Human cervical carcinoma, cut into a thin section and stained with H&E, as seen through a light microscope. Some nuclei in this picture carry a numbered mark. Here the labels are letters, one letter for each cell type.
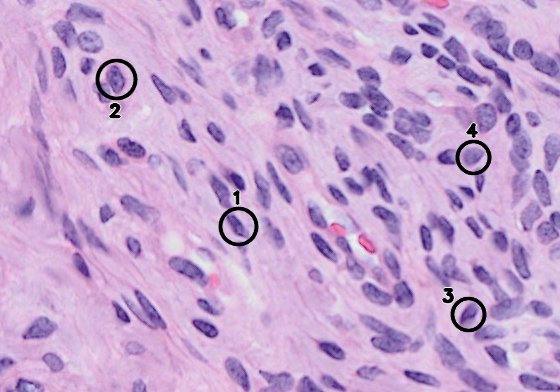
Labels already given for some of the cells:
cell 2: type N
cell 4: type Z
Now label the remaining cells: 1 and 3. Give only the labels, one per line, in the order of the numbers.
type Z
type Z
